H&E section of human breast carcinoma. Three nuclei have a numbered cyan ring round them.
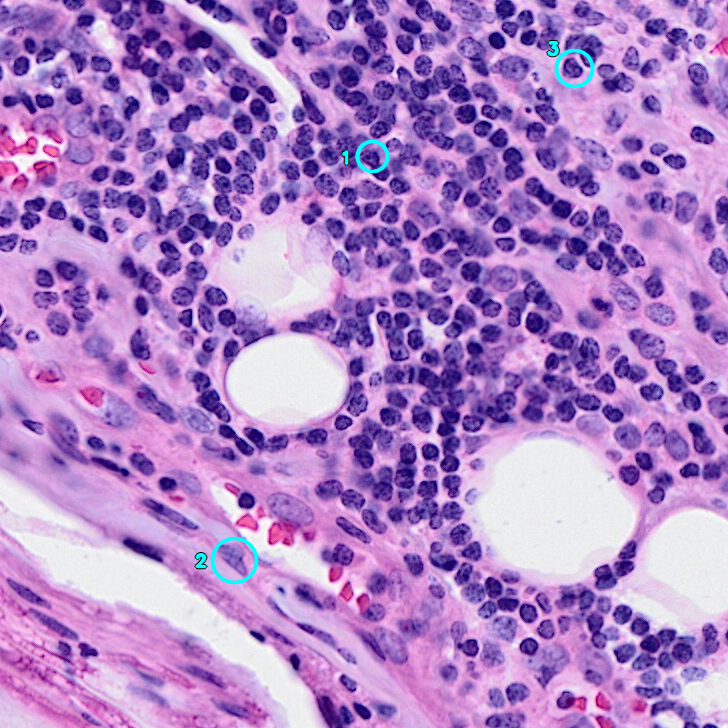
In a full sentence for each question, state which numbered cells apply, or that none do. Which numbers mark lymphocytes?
The cells picked out by numbers 1 and 3 are lymphocytes.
